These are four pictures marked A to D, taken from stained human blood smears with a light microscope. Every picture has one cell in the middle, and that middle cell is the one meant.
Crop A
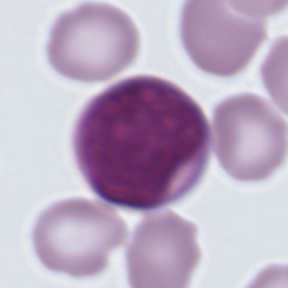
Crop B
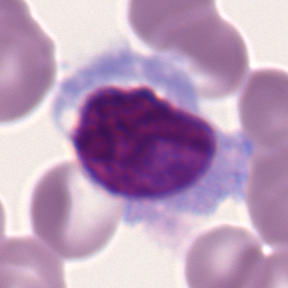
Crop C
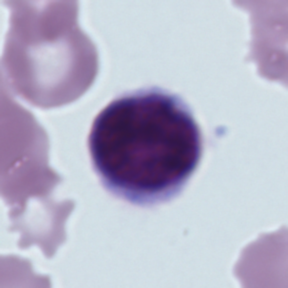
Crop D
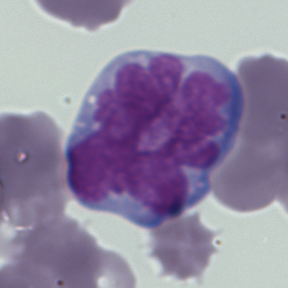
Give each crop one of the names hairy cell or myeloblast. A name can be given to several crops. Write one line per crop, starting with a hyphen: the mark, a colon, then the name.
- A: myeloblast
- B: hairy cell
- C: hairy cell
- D: myeloblast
